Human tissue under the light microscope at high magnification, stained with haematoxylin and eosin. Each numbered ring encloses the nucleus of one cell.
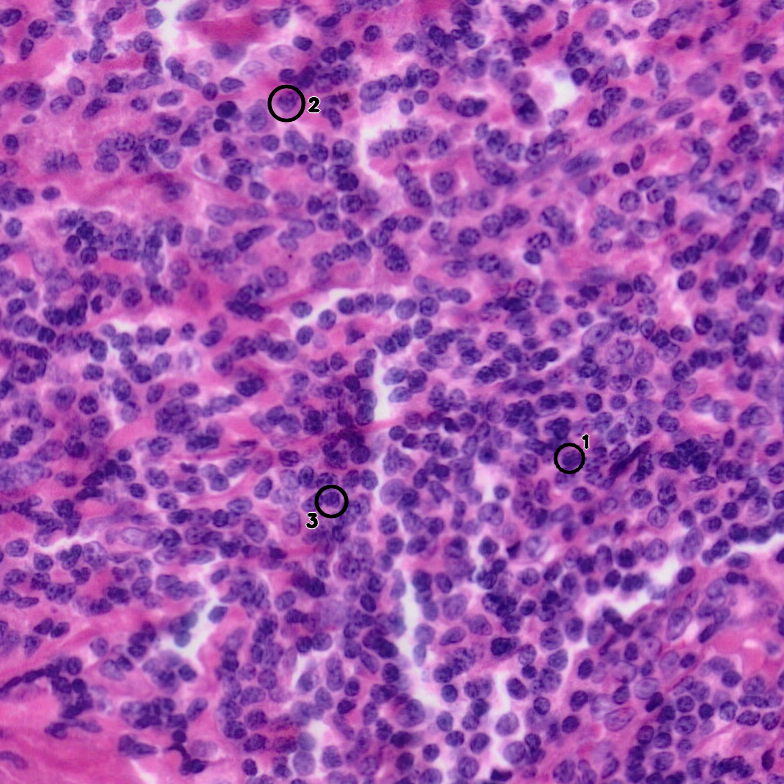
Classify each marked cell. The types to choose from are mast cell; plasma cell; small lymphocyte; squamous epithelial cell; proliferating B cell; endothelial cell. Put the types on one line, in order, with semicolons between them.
small lymphocyte; plasma cell; small lymphocyte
